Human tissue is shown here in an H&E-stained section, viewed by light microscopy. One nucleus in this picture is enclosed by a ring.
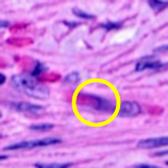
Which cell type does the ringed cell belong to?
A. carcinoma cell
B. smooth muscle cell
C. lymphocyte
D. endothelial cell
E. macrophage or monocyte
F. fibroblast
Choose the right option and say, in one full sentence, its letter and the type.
Option F stands as correct, with the ringed cell being a fibroblast.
